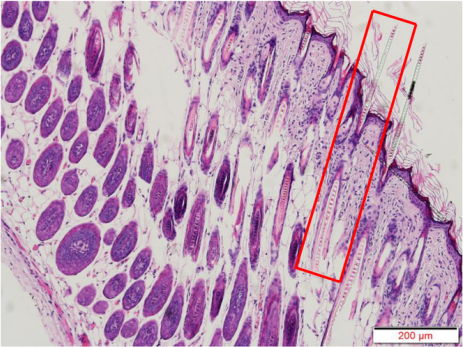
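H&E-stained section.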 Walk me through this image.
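A section of skin cut obliquely, with a thin pink-purple epidermis along the right edge and a dense dermis beneath it. Very many hair follicles run in parallel rows, slanting from the surface down into the deep layer, where their bulbs appear as numerous round and oval purple profiles packed closely together among pale fat. Within the follicles lie long, pale, streaked hair shafts, several of which pass up through the epidermis and leave the surface. The follicles are evenly spaced and orderly, the picture of neat, normally growing hair follicles with their hair shafts.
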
